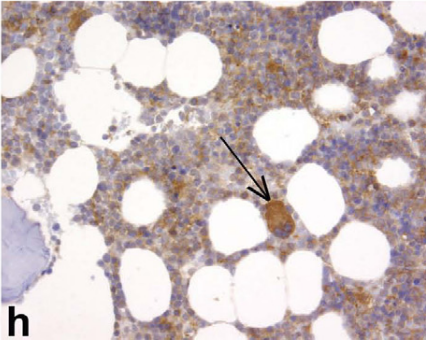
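Bone marrow with many small round haematopoietic cells packed between round empty fat spaces, their nuclei blue and cytoplasm light brown. A single much larger cell with abundant cytoplasm, a megakaryocyte, stands out among them with deeper brown staining.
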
